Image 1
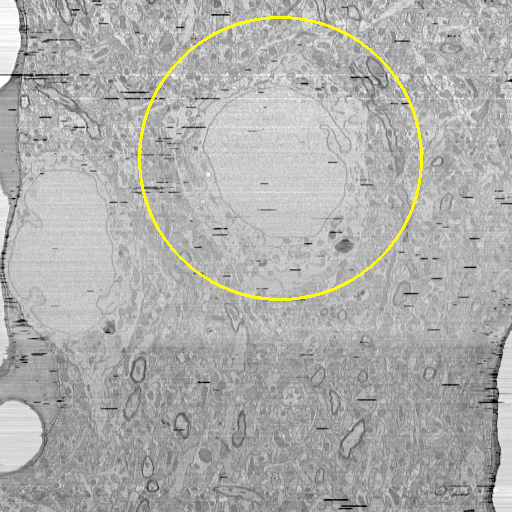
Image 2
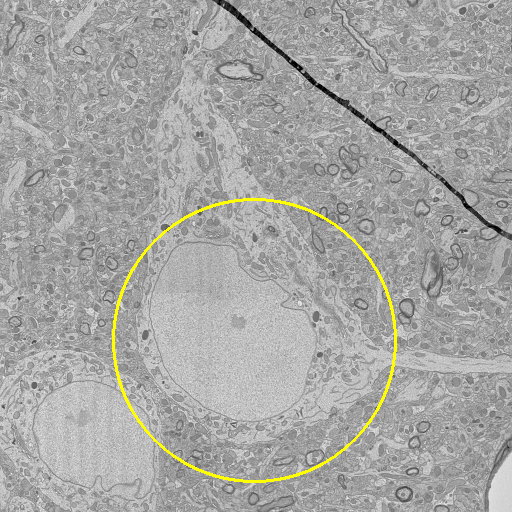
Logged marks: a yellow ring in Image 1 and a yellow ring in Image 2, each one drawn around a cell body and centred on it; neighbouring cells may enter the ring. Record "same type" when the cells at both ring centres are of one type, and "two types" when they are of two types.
same type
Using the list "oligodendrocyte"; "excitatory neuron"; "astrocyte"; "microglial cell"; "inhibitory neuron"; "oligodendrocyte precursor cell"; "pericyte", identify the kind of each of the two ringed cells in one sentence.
In each picture the ringed cell is an excitatory neuron.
